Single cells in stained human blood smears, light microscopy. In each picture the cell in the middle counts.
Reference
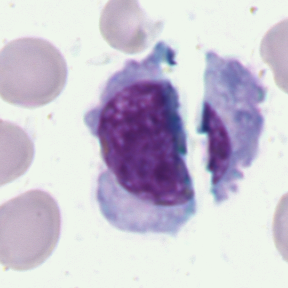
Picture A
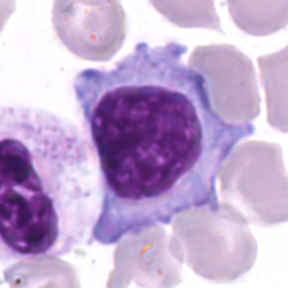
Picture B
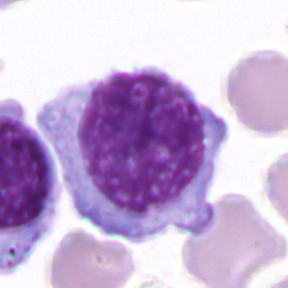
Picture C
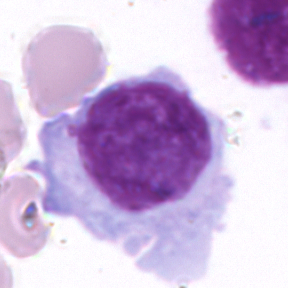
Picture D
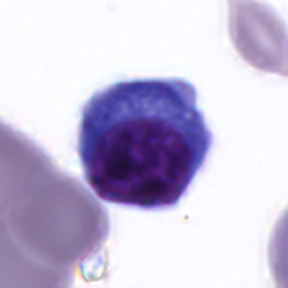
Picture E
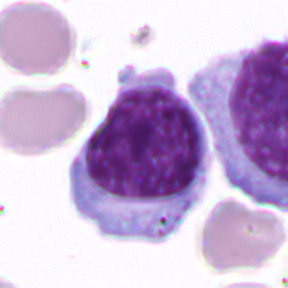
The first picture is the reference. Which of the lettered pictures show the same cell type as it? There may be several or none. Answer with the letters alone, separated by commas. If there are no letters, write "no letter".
A, B, C, D, E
